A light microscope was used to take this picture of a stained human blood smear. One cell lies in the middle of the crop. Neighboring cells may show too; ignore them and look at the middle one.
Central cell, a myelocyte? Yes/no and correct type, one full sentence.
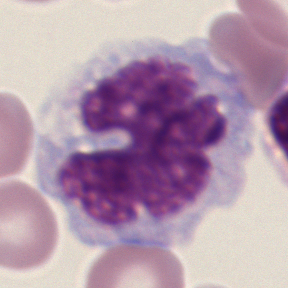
No, the centre cell counts as a monocyte, not as a myelocyte.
